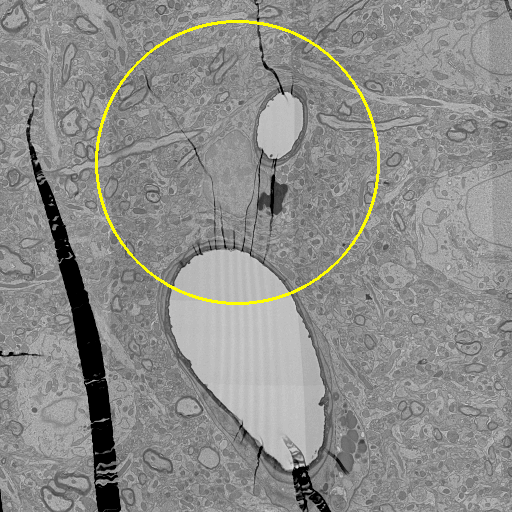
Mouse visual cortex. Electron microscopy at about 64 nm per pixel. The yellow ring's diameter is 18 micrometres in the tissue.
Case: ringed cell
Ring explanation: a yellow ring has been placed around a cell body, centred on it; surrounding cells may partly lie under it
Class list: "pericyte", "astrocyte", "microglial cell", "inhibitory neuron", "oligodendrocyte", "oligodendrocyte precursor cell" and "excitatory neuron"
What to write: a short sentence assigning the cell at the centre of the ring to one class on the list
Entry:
The cell at the ring's centre is a microglial cell.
